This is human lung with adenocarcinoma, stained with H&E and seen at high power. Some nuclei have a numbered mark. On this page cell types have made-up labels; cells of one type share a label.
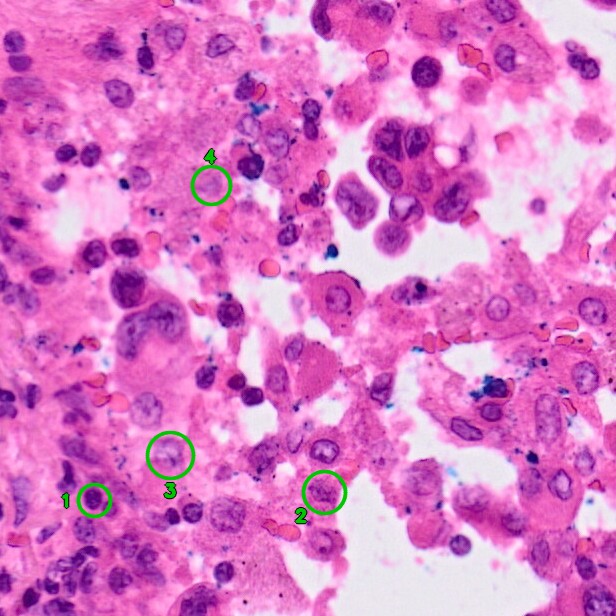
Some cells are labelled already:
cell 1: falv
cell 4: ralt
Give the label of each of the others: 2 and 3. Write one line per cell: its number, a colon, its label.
2: ralt
3: ralt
